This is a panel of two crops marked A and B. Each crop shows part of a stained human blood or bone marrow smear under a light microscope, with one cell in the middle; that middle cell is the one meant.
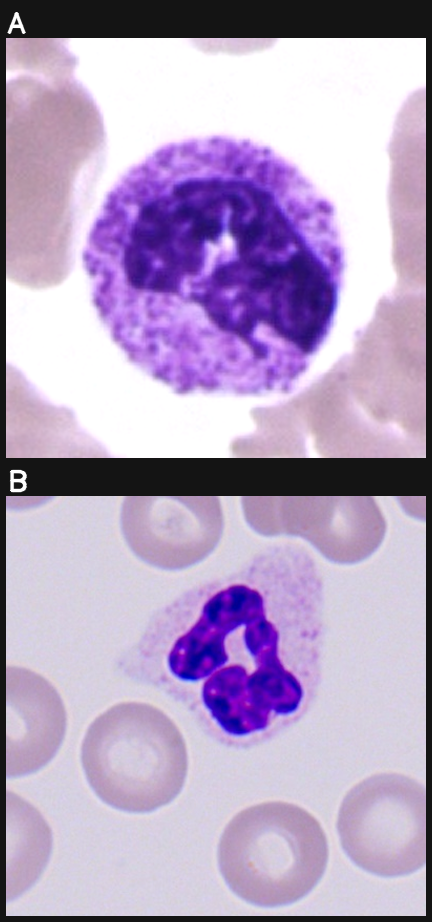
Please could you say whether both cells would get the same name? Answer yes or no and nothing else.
yes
